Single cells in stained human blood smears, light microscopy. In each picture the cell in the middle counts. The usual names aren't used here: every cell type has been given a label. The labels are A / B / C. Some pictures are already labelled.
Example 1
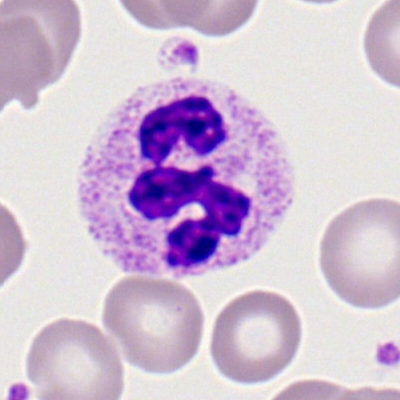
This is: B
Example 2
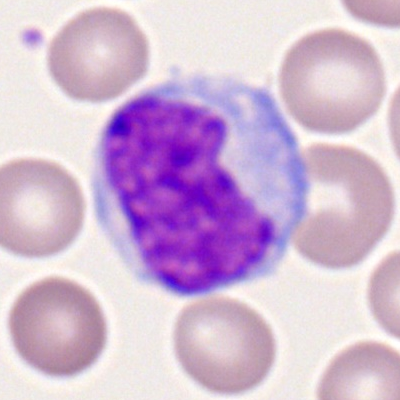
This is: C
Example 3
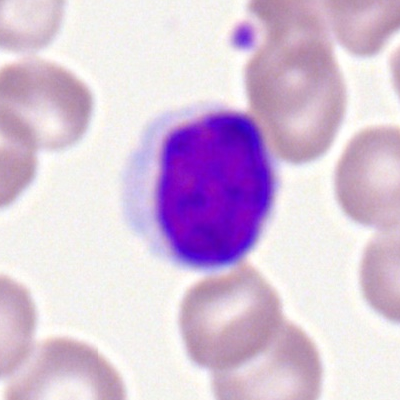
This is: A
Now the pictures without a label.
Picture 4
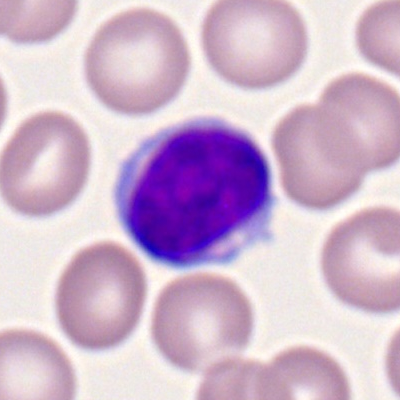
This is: A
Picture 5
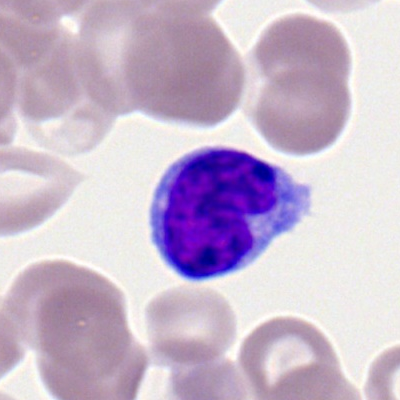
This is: A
